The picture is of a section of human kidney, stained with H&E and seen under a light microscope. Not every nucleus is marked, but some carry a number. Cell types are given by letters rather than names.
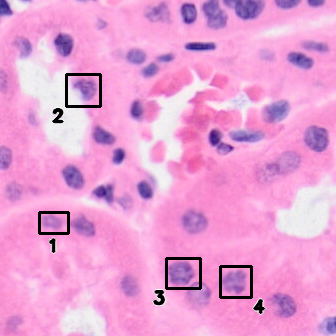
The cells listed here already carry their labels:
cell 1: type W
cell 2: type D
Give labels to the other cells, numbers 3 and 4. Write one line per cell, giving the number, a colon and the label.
3: type W
4: type W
